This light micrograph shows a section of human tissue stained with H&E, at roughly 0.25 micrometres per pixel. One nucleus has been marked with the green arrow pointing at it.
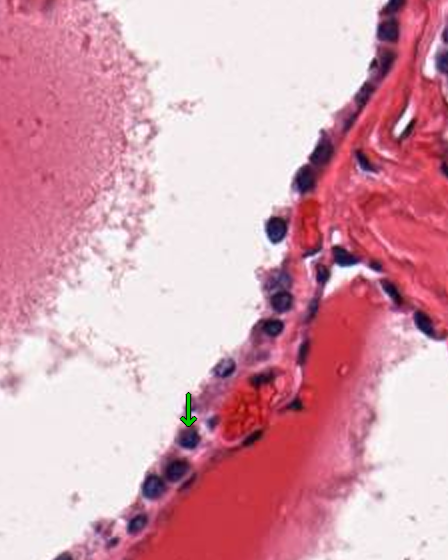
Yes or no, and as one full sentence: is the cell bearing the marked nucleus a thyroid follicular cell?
Yes, the marked nucleus, in this picture, is that of a thyroid follicular cell.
